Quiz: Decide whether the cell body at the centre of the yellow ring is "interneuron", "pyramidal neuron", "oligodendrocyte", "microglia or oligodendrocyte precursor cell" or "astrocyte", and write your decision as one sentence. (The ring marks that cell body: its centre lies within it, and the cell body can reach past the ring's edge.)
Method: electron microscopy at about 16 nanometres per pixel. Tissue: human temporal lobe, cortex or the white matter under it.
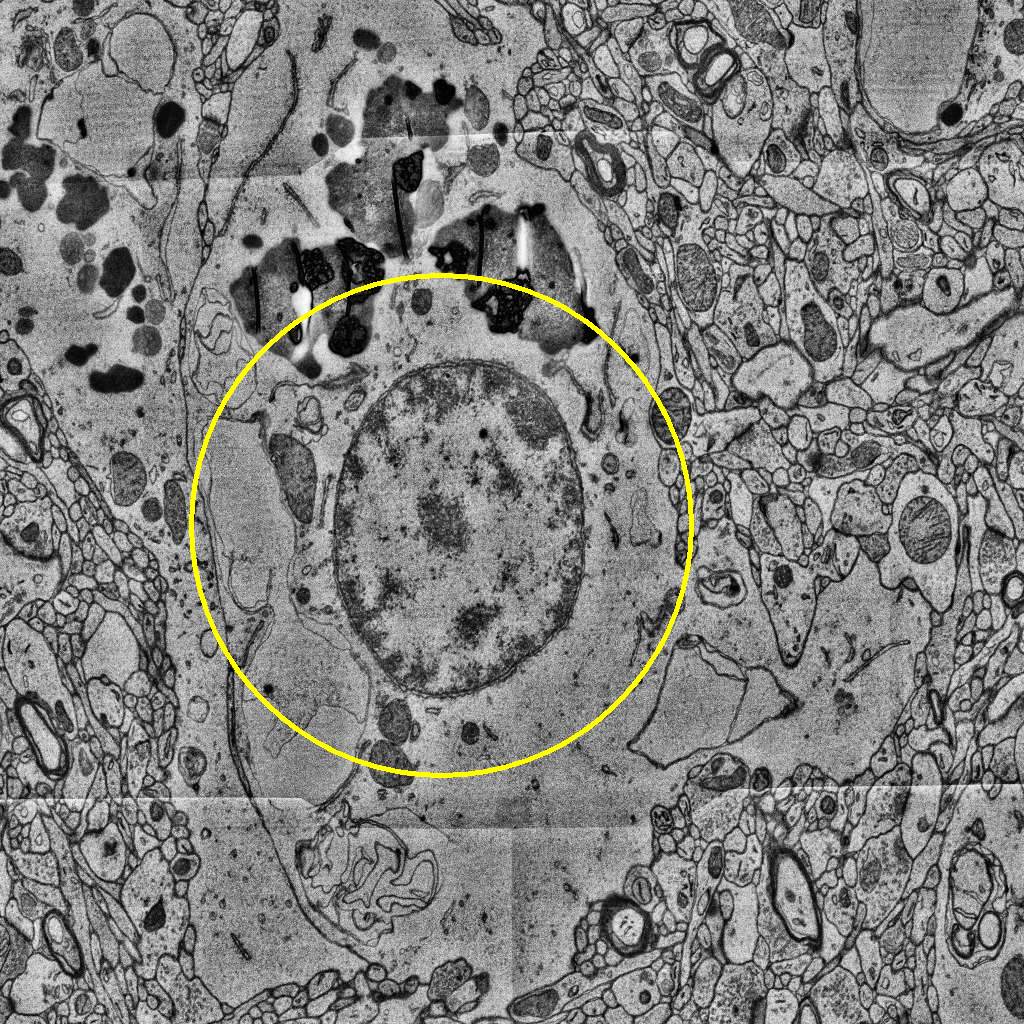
The cell holding the ring's centre is an astrocyte.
